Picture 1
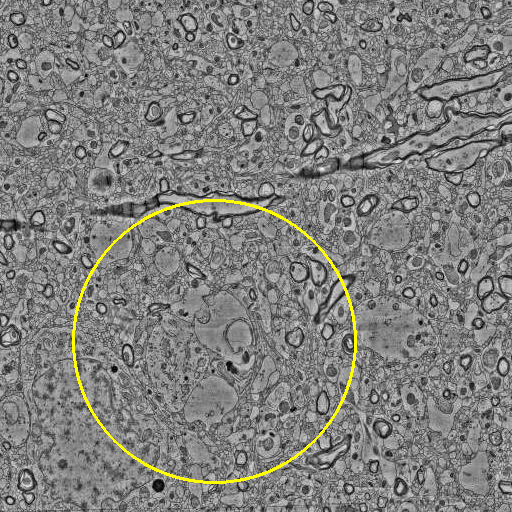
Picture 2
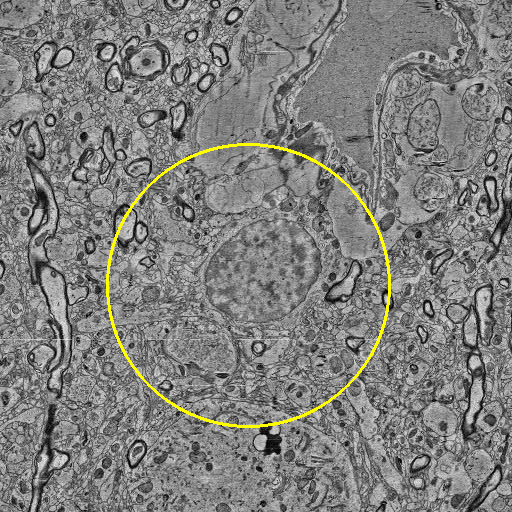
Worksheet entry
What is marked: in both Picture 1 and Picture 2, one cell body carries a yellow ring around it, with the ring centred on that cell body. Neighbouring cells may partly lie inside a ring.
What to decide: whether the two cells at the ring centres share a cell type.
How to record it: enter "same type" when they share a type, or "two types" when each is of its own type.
two types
